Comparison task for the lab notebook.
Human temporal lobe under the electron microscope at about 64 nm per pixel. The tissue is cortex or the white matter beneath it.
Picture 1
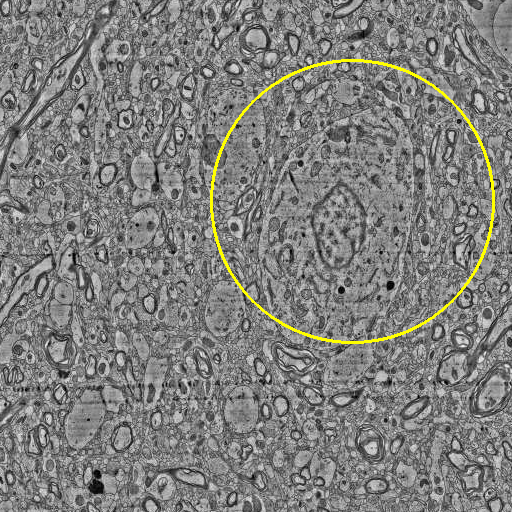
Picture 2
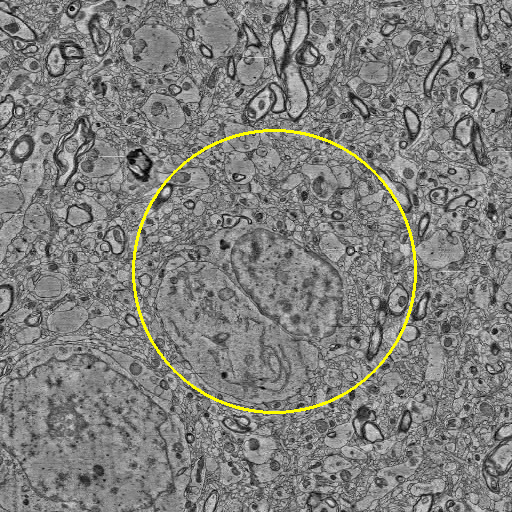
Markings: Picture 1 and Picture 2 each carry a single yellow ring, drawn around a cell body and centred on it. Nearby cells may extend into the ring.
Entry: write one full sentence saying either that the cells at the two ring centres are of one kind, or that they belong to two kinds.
The cells sitting at the ring centres in Picture 1 and Picture 2 belong to two kinds.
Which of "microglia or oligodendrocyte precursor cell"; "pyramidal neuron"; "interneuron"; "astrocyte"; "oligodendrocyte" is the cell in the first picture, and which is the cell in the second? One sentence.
The two differ: the first cell is a pyramidal neuron and the second is an oligodendrocyte.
